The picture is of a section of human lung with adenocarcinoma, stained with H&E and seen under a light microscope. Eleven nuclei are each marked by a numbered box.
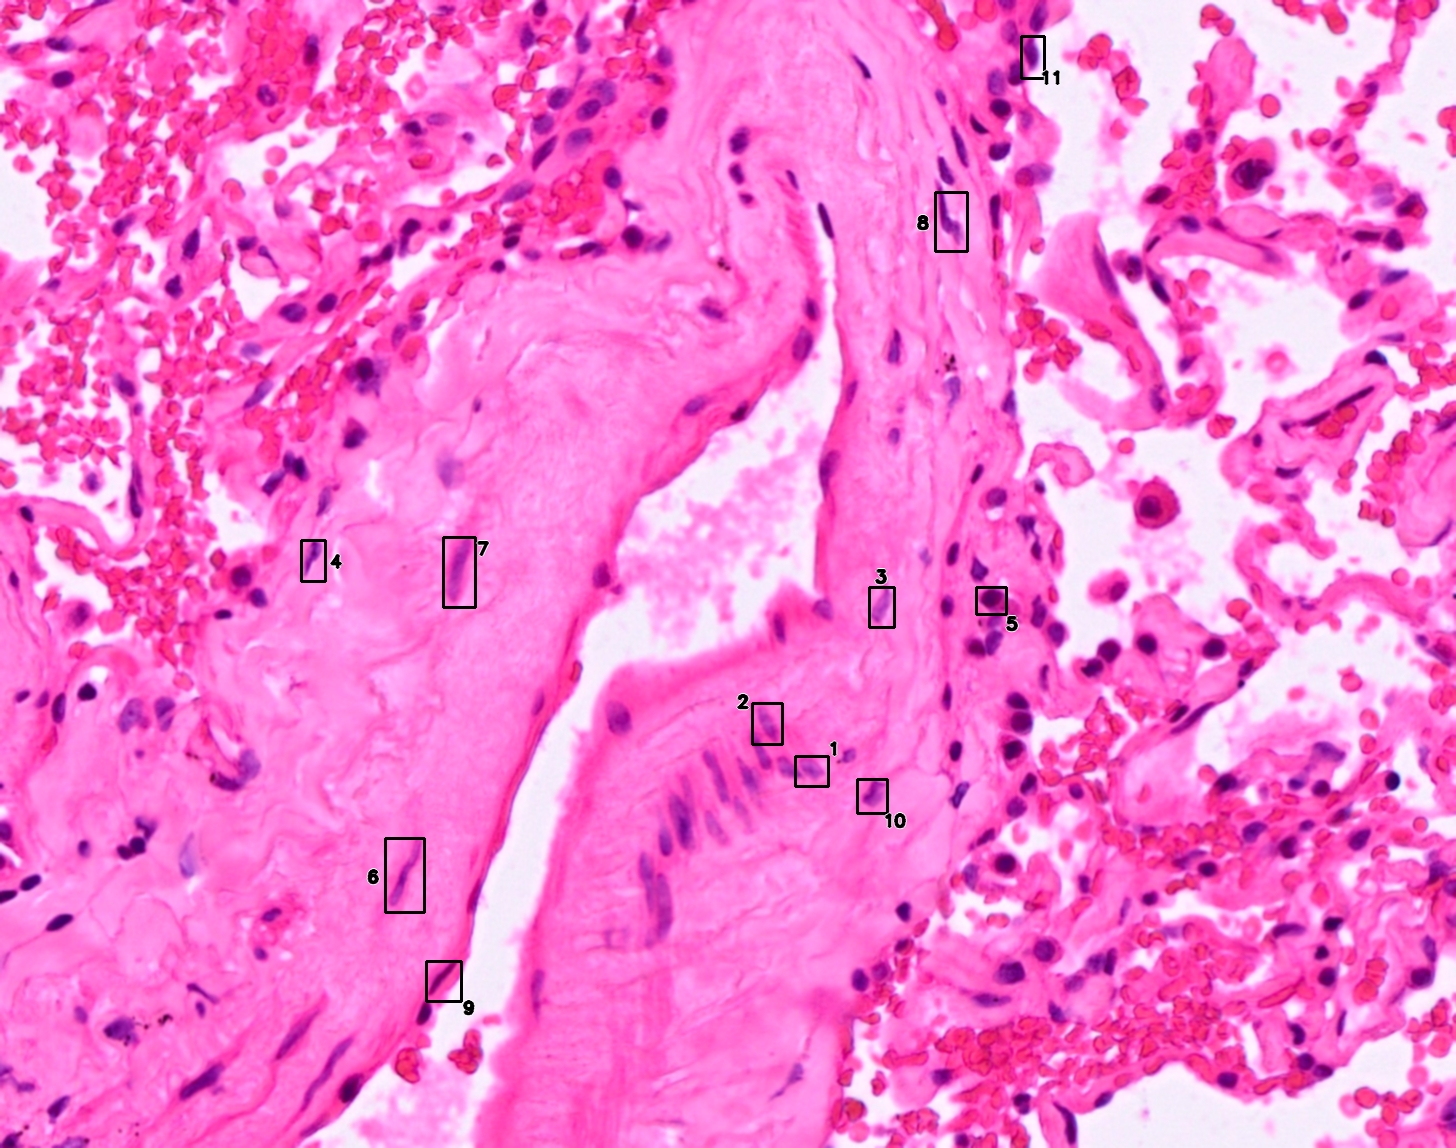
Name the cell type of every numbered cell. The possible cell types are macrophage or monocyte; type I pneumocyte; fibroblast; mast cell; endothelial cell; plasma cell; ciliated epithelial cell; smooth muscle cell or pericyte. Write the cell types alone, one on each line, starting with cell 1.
smooth muscle cell or pericyte
smooth muscle cell or pericyte
fibroblast
fibroblast
plasma cell
smooth muscle cell or pericyte
smooth muscle cell or pericyte
fibroblast
endothelial cell
fibroblast
type I pneumocyte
